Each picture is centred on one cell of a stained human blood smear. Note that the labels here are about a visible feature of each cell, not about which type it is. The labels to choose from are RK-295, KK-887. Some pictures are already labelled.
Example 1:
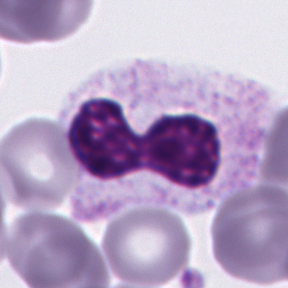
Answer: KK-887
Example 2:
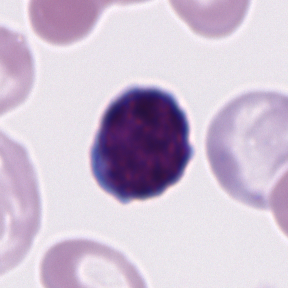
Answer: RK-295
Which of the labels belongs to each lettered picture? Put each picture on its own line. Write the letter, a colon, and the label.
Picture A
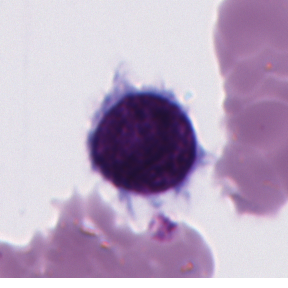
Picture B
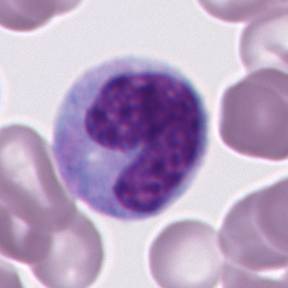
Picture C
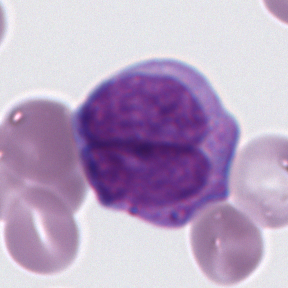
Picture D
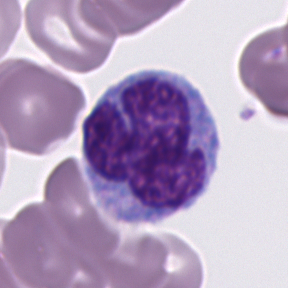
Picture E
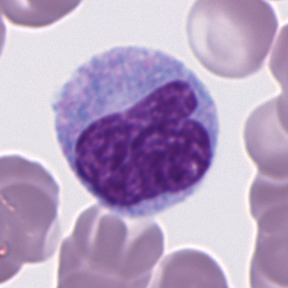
A: RK-295
B: RK-295
C: KK-887
D: KK-887
E: KK-887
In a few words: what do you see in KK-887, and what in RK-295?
KK-887: lobed nucleus; RK-295: single compact nucleus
